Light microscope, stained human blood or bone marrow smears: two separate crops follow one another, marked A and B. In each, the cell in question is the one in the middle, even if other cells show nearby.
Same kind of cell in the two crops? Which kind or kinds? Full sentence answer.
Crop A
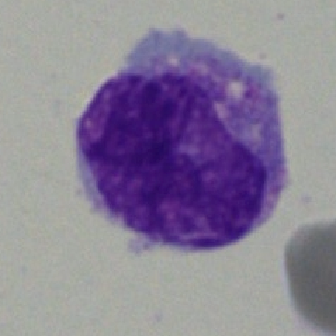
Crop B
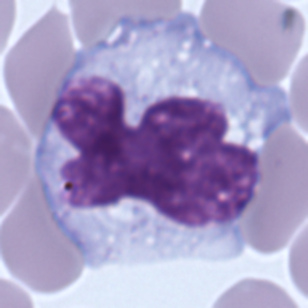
Yes, monocytes are the cells in the middle of both crops.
